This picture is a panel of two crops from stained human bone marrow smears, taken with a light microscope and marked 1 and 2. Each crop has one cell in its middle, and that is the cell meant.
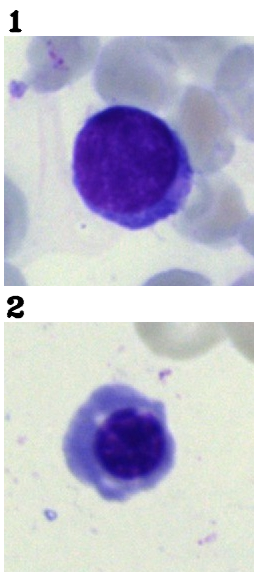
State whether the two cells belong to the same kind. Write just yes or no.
no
